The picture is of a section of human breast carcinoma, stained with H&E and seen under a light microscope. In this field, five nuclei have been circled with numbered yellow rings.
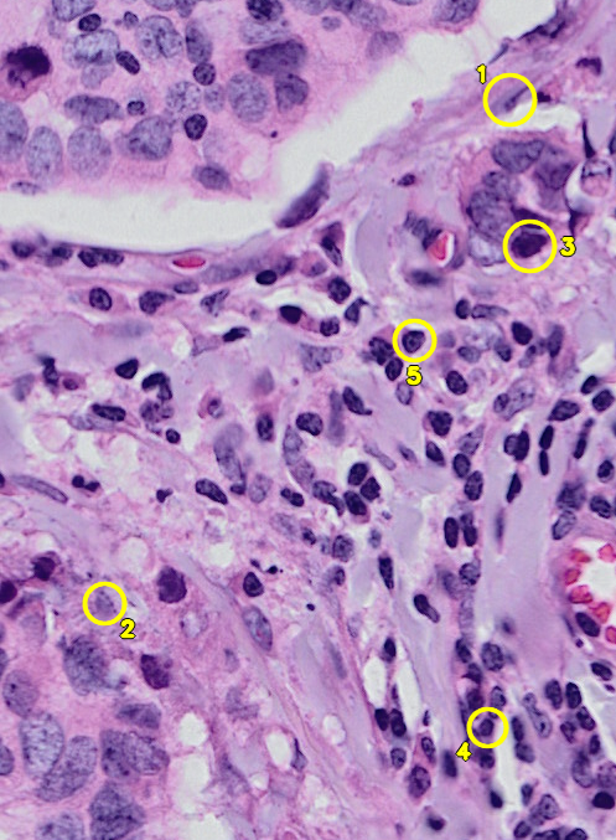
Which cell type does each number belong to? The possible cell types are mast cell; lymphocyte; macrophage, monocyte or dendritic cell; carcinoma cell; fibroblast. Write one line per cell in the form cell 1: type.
cell 1: fibroblast
cell 2: macrophage, monocyte or dendritic cell
cell 3: carcinoma cell
cell 4: lymphocyte
cell 5: lymphocyte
